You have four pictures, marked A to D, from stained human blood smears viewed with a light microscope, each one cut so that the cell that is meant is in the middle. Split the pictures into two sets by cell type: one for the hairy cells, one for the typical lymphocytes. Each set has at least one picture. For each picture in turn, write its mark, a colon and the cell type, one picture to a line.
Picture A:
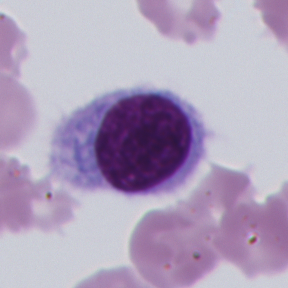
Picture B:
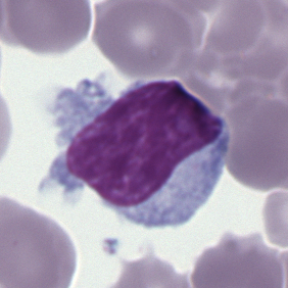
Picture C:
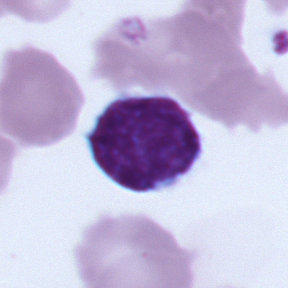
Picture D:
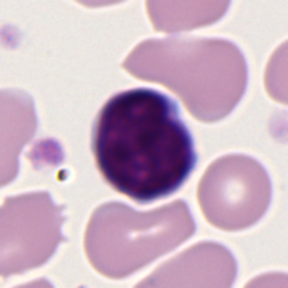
A: hairy cell
B: typical lymphocyte
C: typical lymphocyte
D: typical lymphocyte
